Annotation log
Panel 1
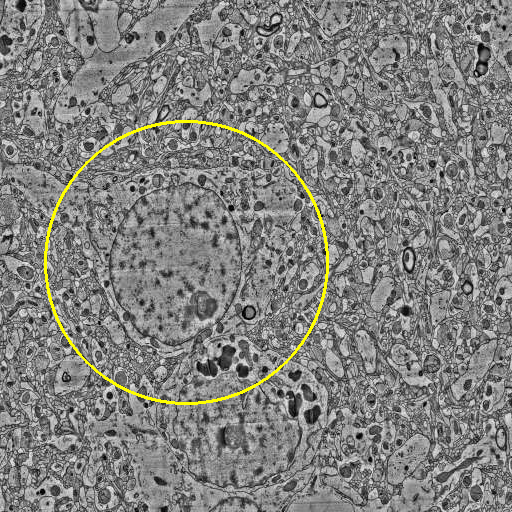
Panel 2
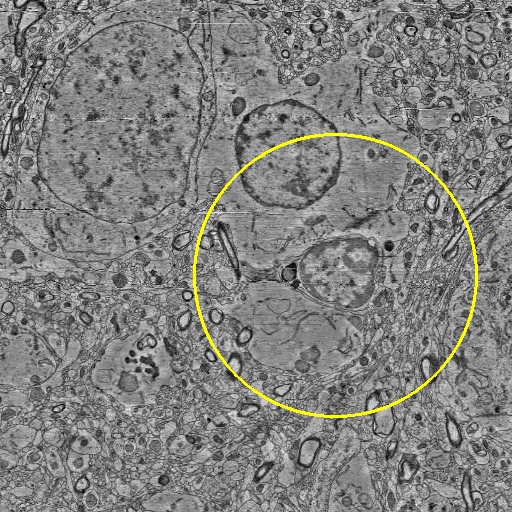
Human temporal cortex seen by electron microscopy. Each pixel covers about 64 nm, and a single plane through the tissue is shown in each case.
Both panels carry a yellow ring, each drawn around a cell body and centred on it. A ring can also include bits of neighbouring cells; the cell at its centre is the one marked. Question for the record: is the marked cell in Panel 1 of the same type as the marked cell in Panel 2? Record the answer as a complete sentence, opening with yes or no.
No, the marked cells in Panel 1 and Panel 2 are of two types.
